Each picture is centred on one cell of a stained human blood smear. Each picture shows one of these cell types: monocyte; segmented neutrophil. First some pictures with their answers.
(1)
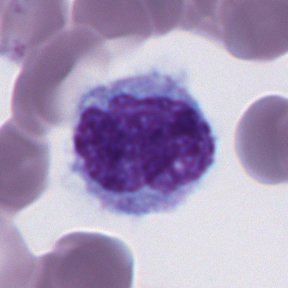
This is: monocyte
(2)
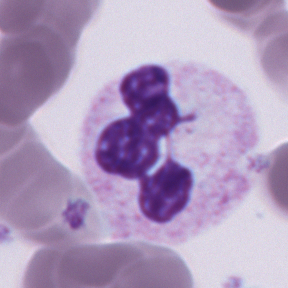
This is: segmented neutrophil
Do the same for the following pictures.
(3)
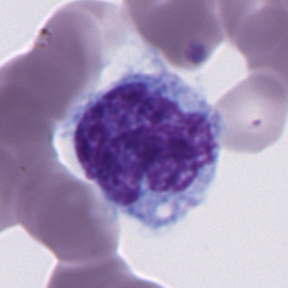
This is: monocyte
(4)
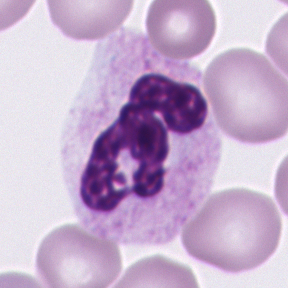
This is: segmented neutrophil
